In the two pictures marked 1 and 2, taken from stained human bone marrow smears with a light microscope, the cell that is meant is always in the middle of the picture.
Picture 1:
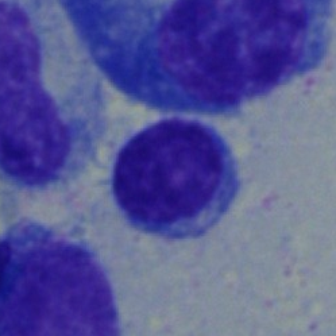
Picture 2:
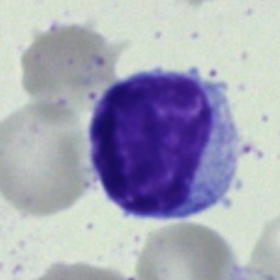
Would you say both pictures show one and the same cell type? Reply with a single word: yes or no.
yes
